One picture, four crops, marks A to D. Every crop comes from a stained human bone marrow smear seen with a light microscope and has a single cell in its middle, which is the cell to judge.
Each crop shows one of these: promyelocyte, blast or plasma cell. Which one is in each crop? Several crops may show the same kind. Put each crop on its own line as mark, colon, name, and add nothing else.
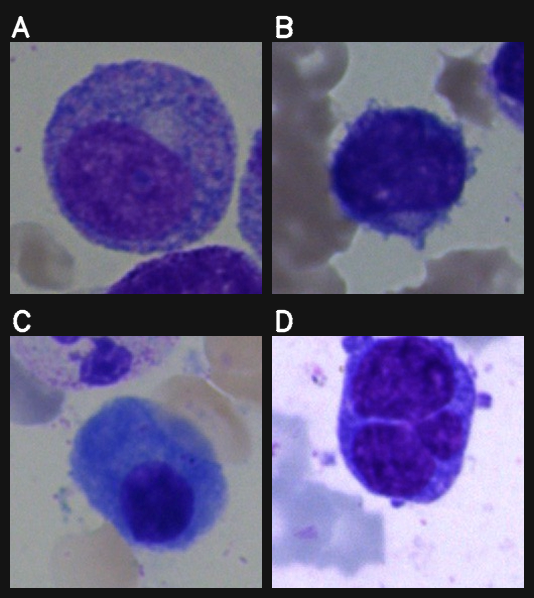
A: promyelocyte
B: blast
C: plasma cell
D: blast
